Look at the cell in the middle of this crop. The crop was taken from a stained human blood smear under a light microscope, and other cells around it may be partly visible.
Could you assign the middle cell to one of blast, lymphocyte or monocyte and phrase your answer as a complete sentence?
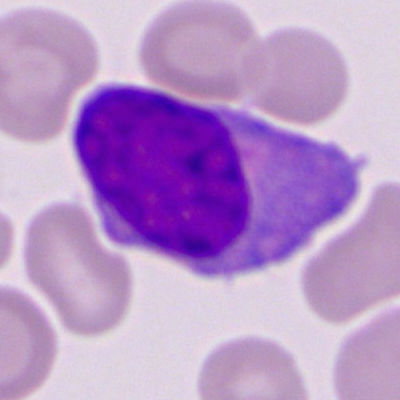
To answer, the cell in the center of the crop is a blast.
